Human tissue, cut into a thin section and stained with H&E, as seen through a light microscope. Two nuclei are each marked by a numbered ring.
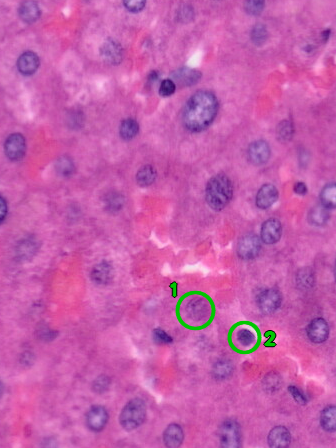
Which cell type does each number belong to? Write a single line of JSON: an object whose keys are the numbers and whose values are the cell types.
{"1": "hepatocyte", "2": "lymphocyte"}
